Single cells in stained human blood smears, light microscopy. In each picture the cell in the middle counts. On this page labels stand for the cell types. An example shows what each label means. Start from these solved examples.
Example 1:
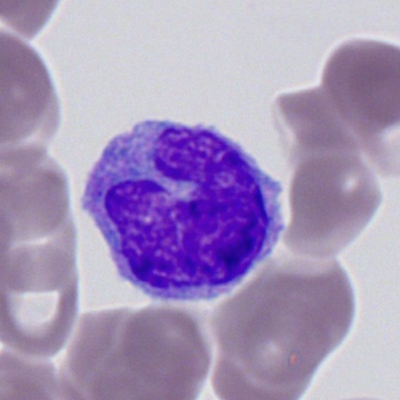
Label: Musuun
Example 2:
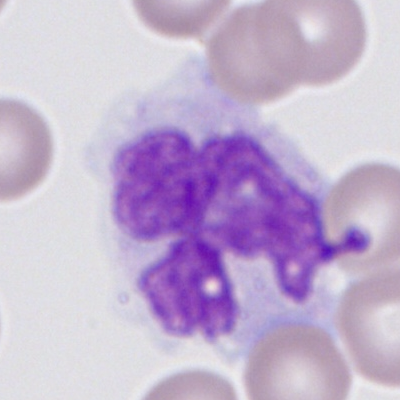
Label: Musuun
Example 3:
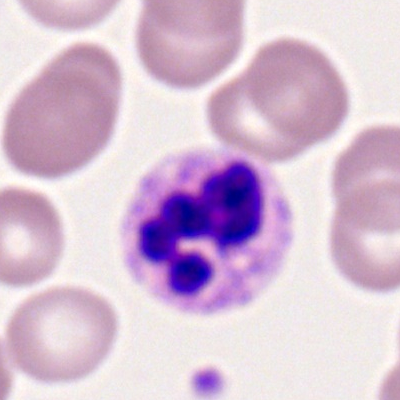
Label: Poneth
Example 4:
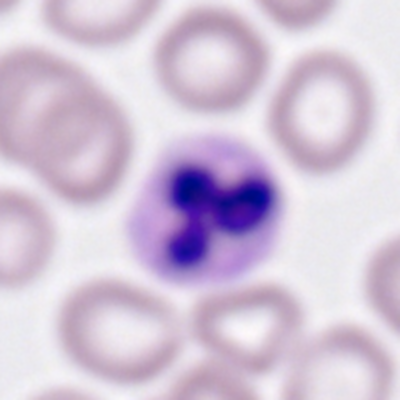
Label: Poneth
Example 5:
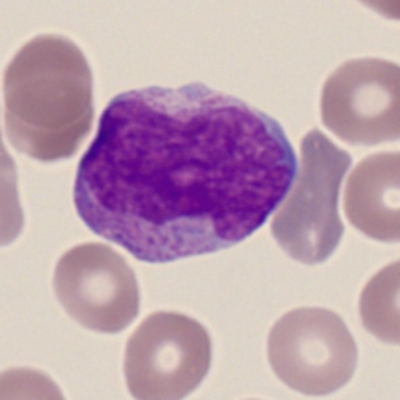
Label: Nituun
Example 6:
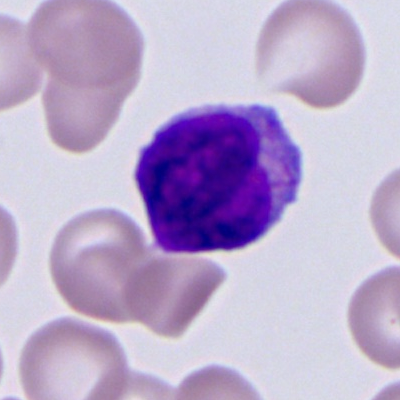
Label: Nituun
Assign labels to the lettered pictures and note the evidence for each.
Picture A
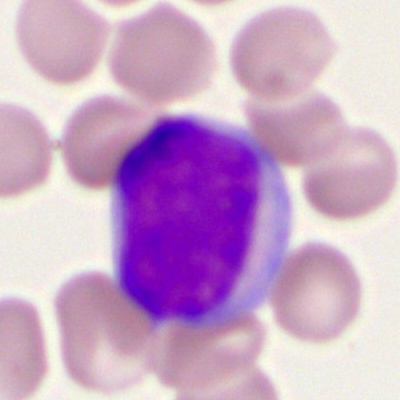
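Nituun. Reason: The nucleus fills most of the cell.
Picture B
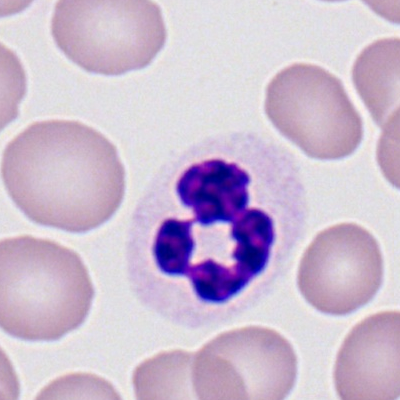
Poneth. Reason: The cytoplasm is pale pink.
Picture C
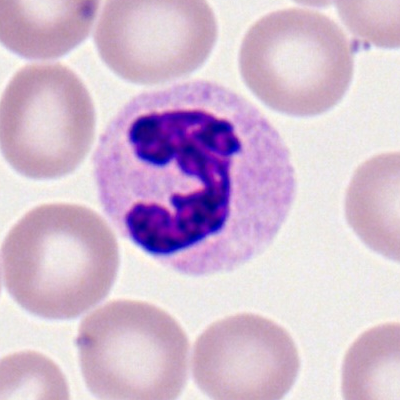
Poneth. Reason: The nucleus is a curved, C-shaped band whose open side faces left.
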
